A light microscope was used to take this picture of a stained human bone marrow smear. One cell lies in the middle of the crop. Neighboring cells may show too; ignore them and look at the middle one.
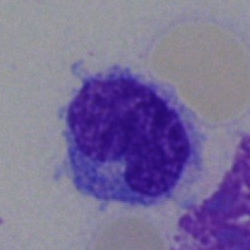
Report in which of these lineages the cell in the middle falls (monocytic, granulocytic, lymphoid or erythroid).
monocytic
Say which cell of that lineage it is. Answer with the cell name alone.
monocyte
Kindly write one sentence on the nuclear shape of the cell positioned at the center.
A single compact nucleus is present, shaped round, oval or like a kidney.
